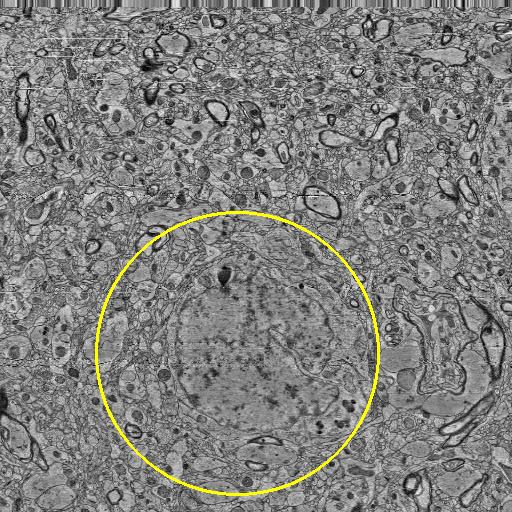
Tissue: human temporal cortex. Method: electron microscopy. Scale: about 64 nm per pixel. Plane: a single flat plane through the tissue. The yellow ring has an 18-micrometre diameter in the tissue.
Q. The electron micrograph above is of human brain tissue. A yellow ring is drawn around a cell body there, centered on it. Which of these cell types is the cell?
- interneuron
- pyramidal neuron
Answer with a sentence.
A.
The cell under the ring's center is an interneuron.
